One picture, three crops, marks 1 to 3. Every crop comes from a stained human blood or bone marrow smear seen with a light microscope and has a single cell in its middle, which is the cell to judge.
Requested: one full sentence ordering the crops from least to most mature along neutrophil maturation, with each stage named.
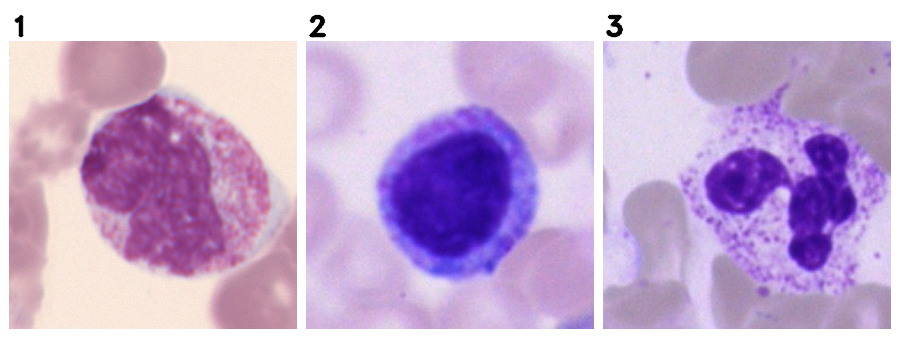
Along the maturation pathway, from earliest to latest, the order is crop 2 (a myelocyte), crop 1 (a band neutrophil) and crop 3 (a segmented neutrophil).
